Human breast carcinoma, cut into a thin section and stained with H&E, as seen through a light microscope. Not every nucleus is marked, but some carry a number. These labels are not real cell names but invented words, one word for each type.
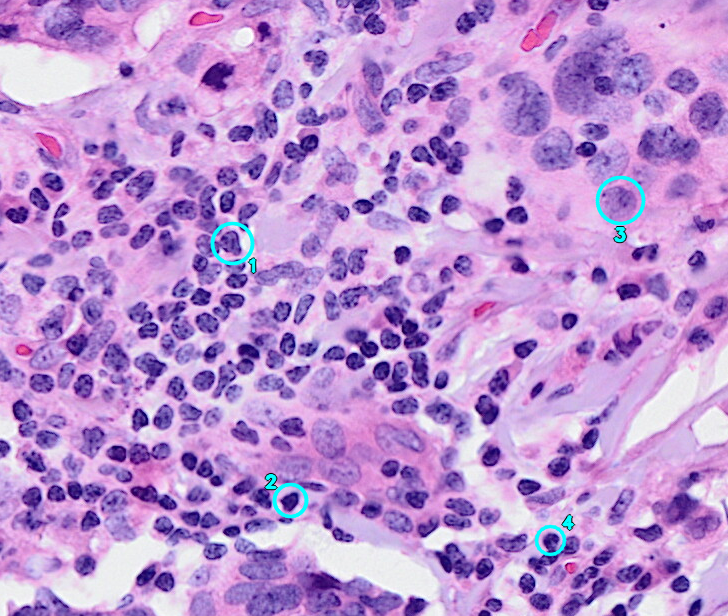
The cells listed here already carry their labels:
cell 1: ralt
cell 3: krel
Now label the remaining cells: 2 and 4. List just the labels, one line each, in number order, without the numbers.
ralt
ralt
